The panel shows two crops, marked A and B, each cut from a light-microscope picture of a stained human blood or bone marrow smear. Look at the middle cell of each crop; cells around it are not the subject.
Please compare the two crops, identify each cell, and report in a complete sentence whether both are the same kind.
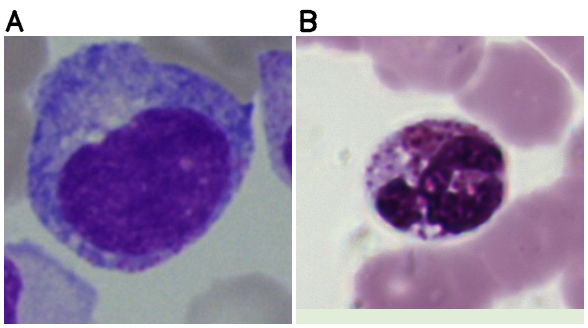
No, crop A is where a promyelocyte is shown, and crop B is where an eosinophil is shown.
